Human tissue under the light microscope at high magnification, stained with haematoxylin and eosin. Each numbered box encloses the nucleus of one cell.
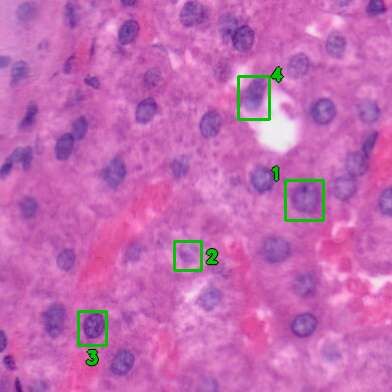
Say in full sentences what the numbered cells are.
Cells 1, 2 and 3 are hepatocytes. Cell 4 is a Kupffer cell.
